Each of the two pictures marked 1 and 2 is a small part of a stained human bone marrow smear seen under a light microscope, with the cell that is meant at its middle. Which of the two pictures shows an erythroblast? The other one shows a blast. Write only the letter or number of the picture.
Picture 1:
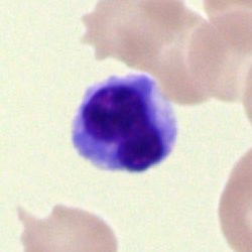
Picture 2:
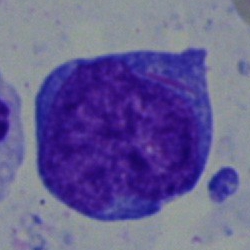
1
